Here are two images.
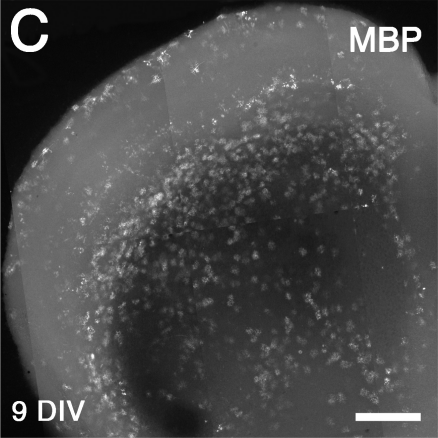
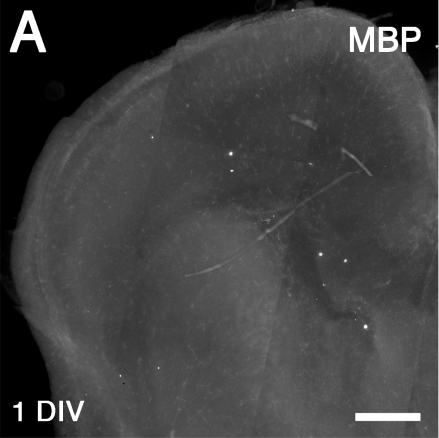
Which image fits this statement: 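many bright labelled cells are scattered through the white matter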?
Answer: The first image.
